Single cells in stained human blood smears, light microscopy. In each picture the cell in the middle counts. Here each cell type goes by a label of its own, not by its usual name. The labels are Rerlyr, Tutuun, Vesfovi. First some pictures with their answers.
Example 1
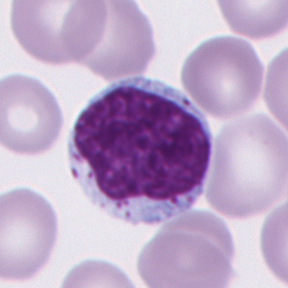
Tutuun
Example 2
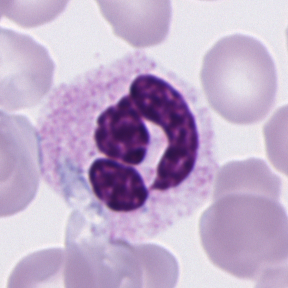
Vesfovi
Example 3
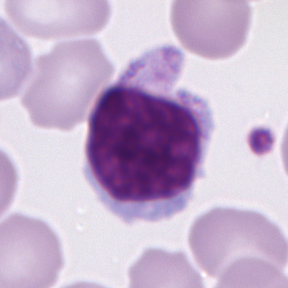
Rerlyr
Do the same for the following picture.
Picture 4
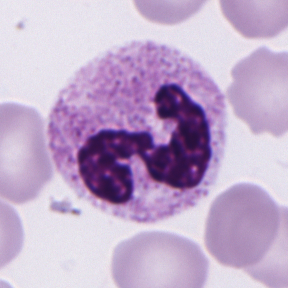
Vesfovi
